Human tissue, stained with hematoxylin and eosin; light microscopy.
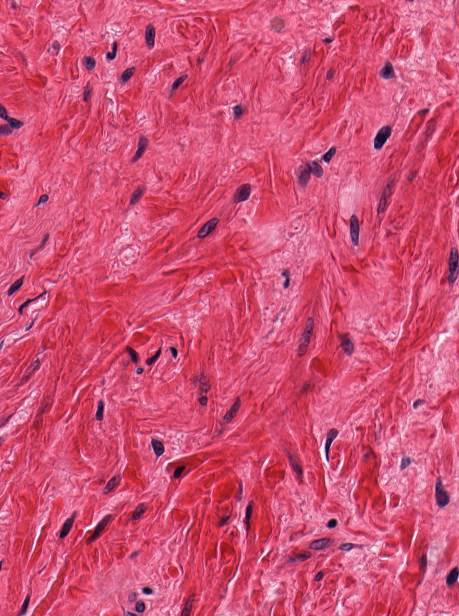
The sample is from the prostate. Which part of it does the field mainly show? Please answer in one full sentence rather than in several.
The part in view in this section is fibromuscular stroma.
